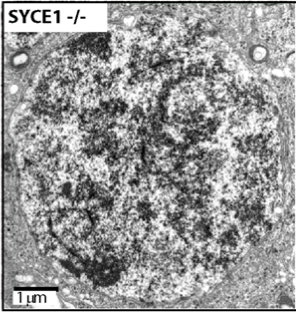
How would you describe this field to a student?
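Spermatocyte nucleus at low magnification, filling most of the field, with finely granular chromatin spread through the nucleoplasm. Darker strands and patches of chromatin lie within it, especially towards the edge. A thin rim of cytoplasm with small membrane-bound organelles lies outside the nucleus at the top.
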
